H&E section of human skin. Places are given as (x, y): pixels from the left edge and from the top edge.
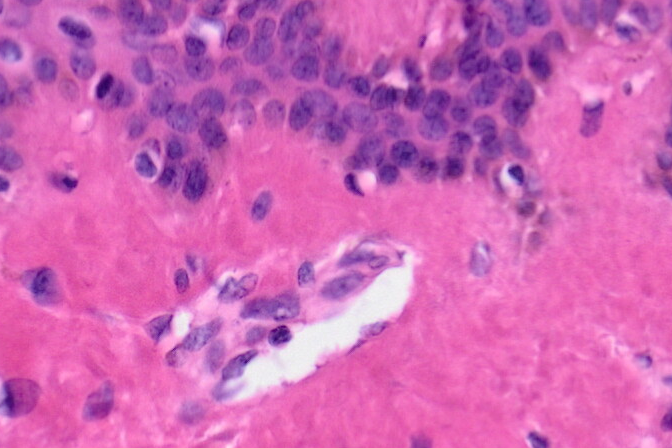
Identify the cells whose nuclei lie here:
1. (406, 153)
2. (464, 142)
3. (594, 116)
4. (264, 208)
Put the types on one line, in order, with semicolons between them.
basal keratinocyte; basal keratinocyte; fibroblast; fibroblast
